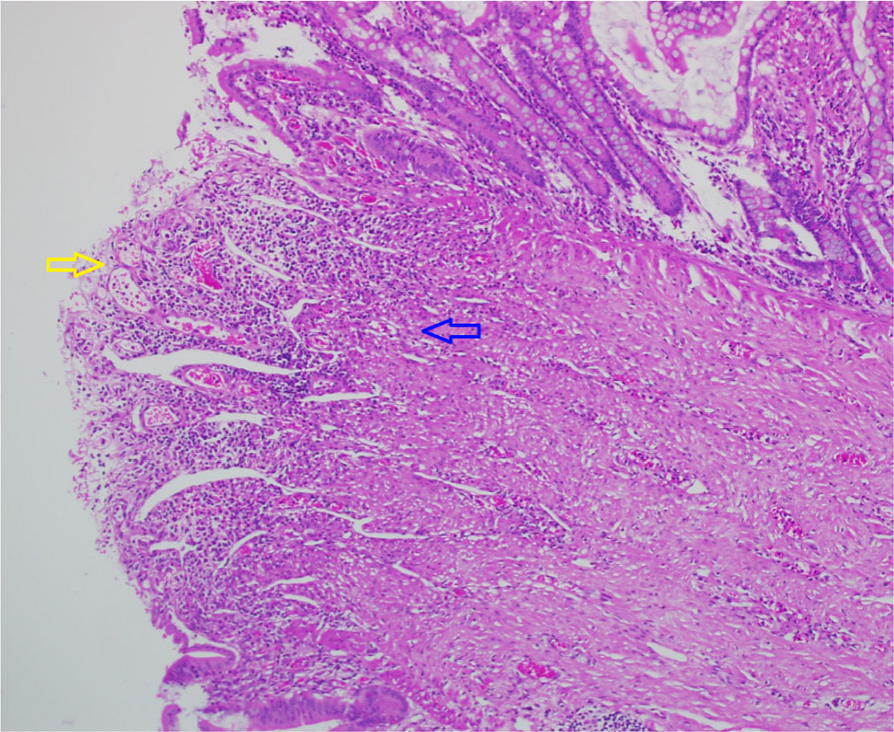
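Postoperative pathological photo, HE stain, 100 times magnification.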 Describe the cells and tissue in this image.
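This is intestinal mucosa with a shallow ulcer. At the top right, intact glands are lined by columnar epithelium with many pale goblet cells. At the left edge the surface has lost its epithelium, and the ragged tissue there is crowded with dark inflammatory nuclei and dilated, blood-filled vessels. Beneath and behind this area, pink muscle fibers with slender nuclei run in long parallel bundles, streaming up toward the eroded surface.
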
